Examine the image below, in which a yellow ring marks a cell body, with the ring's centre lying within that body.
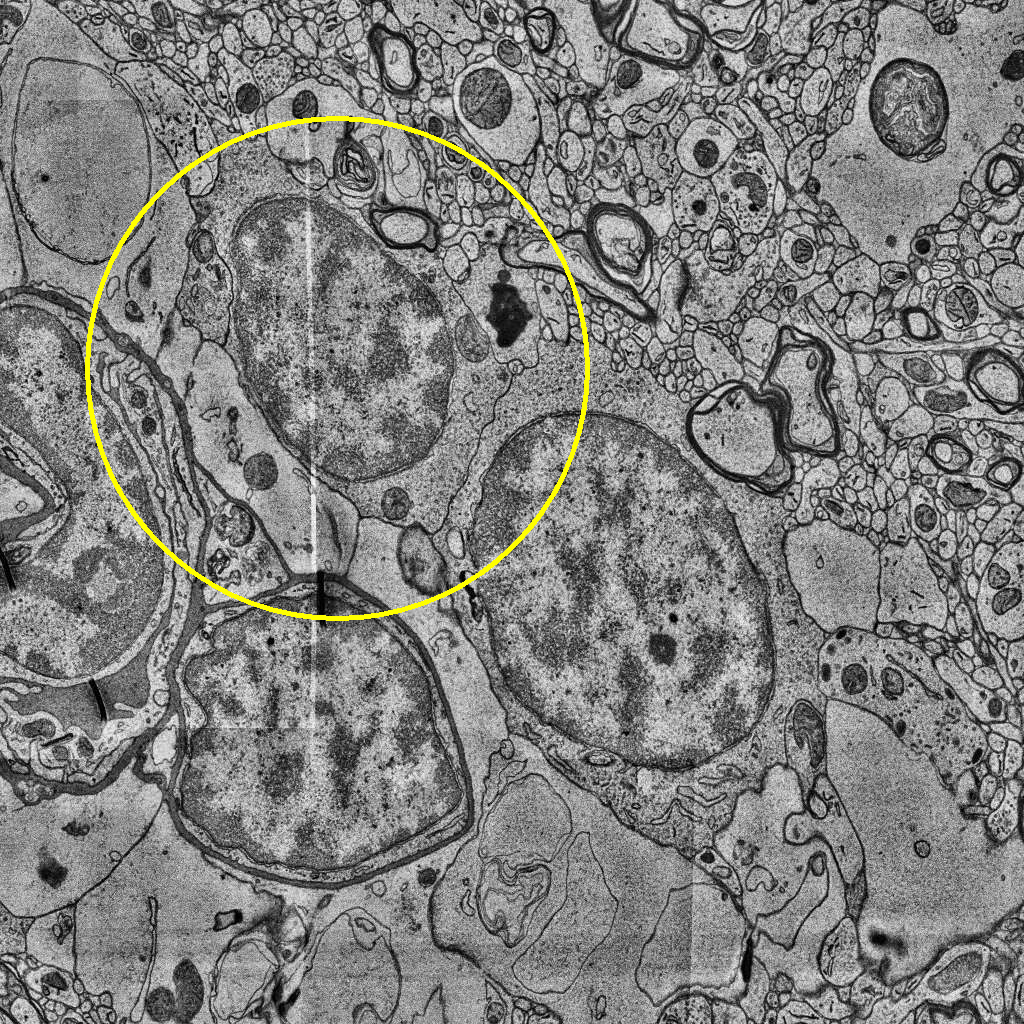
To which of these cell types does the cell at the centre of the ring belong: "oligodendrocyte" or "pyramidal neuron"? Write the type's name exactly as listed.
oligodendrocyte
